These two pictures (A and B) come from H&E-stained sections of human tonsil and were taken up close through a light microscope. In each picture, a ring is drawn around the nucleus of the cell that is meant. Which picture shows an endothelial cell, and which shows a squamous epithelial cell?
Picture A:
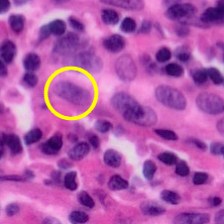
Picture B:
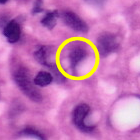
A: endothelial cell
B: squamous epithelial cell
